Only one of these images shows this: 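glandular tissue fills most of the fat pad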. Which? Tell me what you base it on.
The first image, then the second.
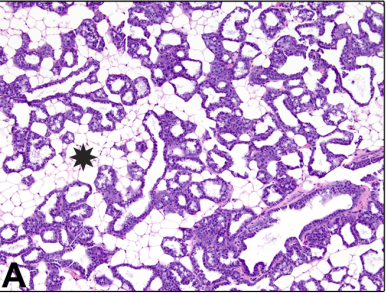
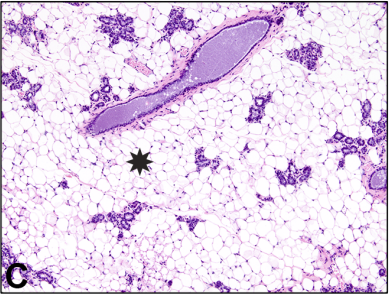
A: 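Second image: mostly clear fat cells with only small, sparse glandular clusters and a duct. First image: dense glandular units occupy most of the field, with fat visible only between them. The answer: the first image.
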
